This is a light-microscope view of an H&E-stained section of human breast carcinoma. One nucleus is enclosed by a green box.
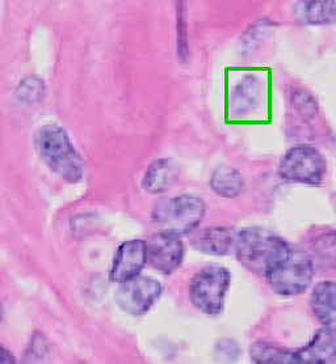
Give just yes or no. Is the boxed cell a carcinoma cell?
yes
